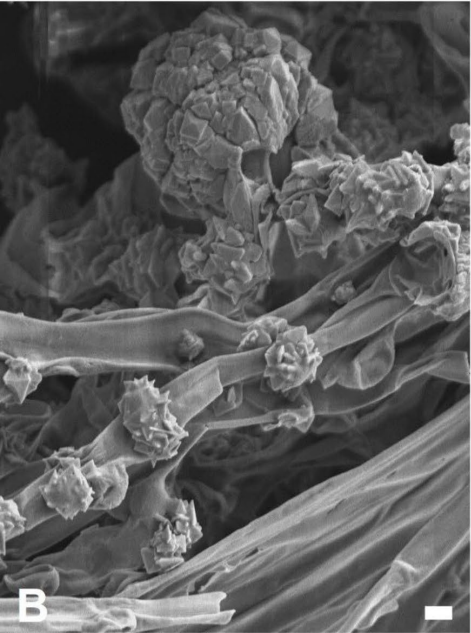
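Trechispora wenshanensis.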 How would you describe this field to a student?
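This scanning electron image shows fungal hyphae encrusted with irregular crystals. The hyphae are long, smooth-walled cylindrical threads running mostly diagonally across the field, some overlapping one another. Along their surfaces sit small rosette-like clusters of angular, plate-like crystals, and toward the top a larger, lumpy aggregate of similar faceted plates rises above the threads.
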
